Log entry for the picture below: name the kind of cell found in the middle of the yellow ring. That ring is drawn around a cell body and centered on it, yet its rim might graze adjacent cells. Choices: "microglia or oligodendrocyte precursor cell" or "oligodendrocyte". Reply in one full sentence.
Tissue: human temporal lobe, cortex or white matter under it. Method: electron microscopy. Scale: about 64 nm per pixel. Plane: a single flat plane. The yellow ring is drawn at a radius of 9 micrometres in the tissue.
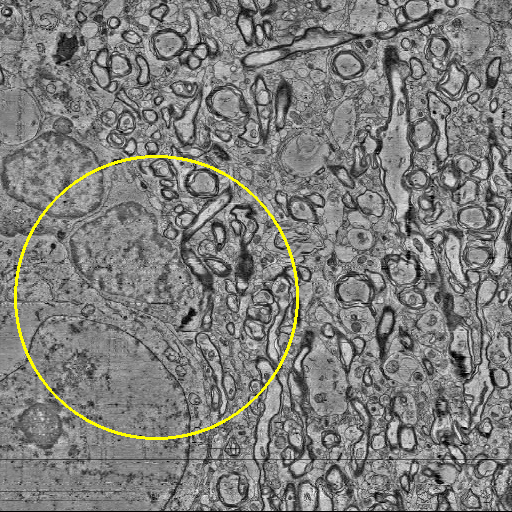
The cell in the middle of the yellow ring in this picture is an oligodendrocyte.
